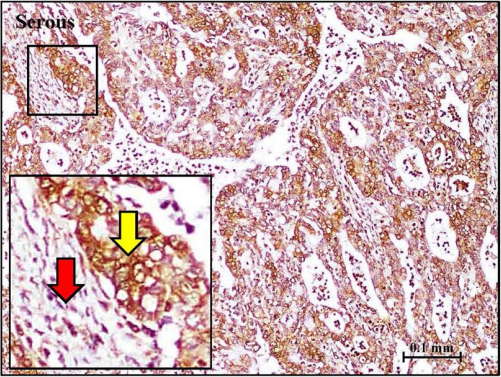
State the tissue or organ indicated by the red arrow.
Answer: stroma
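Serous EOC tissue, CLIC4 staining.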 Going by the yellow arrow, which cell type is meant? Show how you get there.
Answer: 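Tumor cells. The yellow arrow points to a crowded cluster of large rounded cells. These cells have strongly brown-stained cytoplasm and cell borders. Such clusters fill most of the panel, forming gland-like spaces.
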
